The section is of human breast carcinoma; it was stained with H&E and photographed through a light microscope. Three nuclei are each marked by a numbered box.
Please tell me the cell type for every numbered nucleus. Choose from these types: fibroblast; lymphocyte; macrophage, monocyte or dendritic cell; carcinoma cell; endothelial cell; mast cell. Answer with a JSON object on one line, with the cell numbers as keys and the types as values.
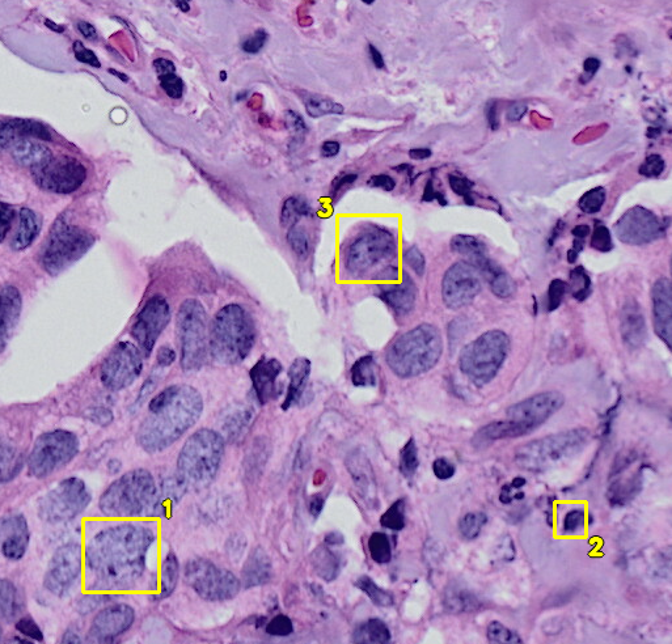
{"1": "carcinoma cell", "2": "lymphocyte", "3": "carcinoma cell"}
